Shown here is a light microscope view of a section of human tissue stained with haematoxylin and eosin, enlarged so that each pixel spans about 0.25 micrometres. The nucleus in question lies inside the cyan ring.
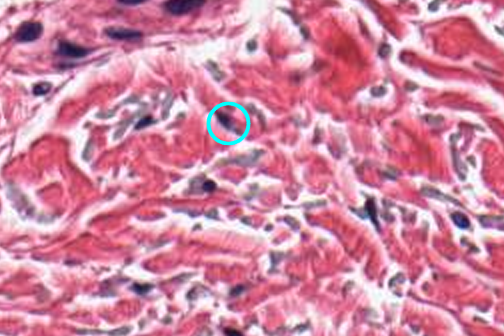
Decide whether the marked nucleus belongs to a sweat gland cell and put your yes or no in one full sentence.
No, the marked nucleus belongs to a supporting cell of connective tissue, a vessel or the immune system, not to a sweat gland cell.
